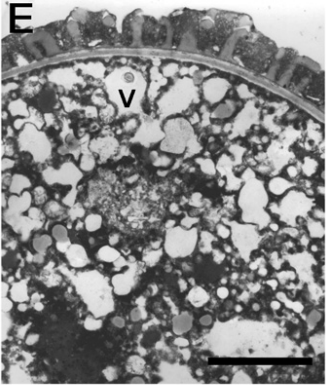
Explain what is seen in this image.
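This electron micrograph shows the peripheral part of a mature pollen grain, with the thick, sculptured dark outer wall at the top and a pale smooth wall layer beneath it. The cytoplasm is crowded with many pale, enlarged and irregularly shaped vesicles of varied size. Between them lie dense, dark cytoplasm and some grey rounded bodies, giving the interior a coarse, honeycombed look.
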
